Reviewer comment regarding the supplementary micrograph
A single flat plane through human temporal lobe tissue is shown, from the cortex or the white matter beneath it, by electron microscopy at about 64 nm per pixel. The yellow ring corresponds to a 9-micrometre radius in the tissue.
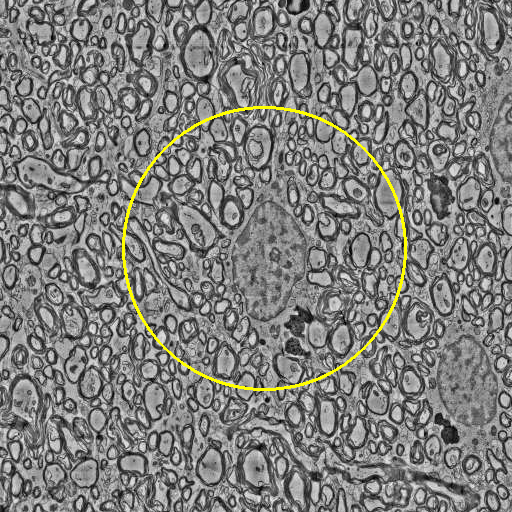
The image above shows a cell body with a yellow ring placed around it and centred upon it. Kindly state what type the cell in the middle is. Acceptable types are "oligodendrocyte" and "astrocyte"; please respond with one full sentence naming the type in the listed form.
In the image above, the cell on which the yellow ring is centred is an oligodendrocyte.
